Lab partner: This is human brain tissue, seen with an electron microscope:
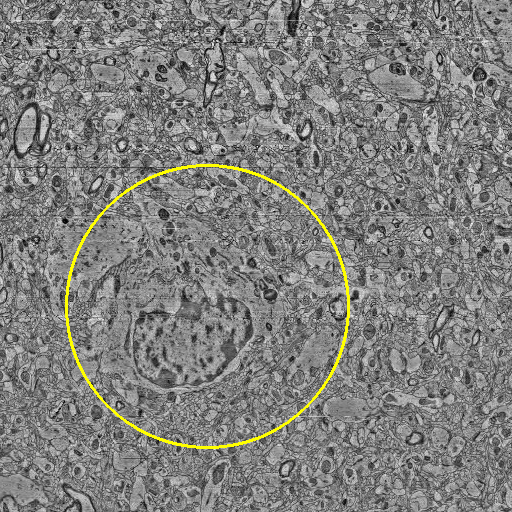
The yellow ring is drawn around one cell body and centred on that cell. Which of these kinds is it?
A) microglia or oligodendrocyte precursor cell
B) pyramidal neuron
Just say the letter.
A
